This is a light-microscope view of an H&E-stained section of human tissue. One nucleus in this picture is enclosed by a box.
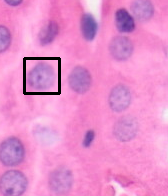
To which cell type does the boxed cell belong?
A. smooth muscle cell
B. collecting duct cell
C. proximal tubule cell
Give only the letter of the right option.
C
